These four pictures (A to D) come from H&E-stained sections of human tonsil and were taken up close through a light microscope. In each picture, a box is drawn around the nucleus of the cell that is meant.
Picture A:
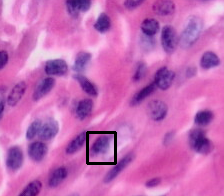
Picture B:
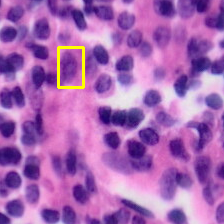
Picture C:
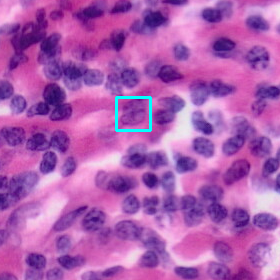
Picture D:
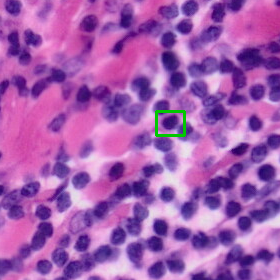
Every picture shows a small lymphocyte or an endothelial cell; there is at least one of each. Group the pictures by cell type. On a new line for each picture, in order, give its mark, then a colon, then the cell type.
A: endothelial cell
B: endothelial cell
C: endothelial cell
D: small lymphocyte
